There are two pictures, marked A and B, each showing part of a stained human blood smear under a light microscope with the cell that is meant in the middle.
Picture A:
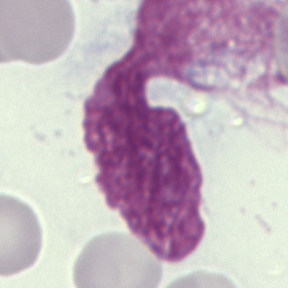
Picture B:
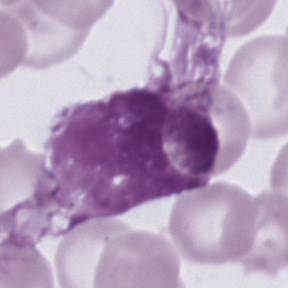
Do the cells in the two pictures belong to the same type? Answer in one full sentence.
Yes, the two pictures both show smudge cells.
